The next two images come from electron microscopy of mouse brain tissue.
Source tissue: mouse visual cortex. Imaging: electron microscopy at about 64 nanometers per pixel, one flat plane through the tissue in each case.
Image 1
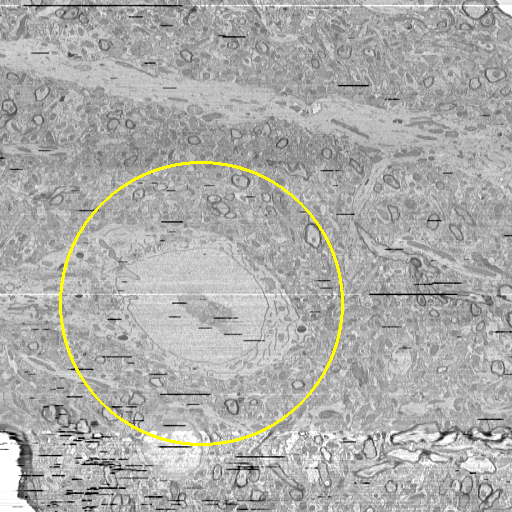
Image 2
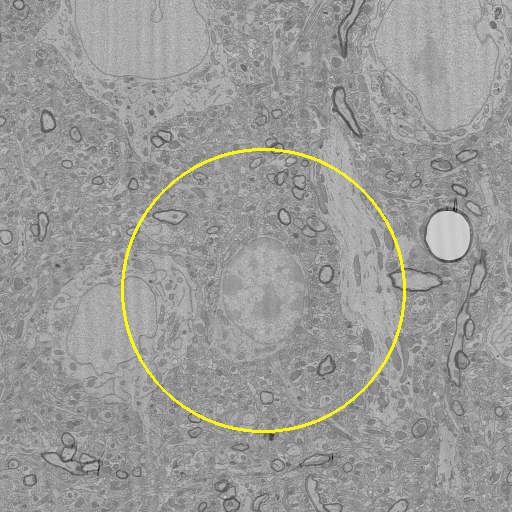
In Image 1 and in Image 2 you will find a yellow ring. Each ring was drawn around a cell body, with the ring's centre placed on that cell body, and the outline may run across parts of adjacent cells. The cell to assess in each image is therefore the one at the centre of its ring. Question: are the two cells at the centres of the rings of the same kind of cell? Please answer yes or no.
no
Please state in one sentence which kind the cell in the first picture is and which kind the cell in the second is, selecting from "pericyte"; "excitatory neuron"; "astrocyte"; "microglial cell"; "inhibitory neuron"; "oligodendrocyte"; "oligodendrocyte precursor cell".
The first ringed cell is an excitatory neuron, the second ringed cell an oligodendrocyte.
